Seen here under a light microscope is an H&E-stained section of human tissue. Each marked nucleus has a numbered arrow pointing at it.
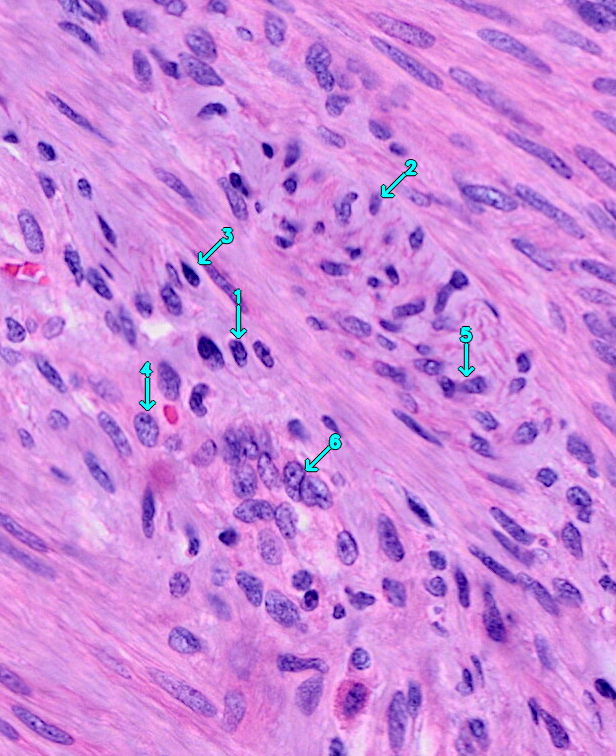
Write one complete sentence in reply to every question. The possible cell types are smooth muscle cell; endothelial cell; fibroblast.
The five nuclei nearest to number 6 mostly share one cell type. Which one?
Endothelial cells account for more than half of the five nuclei nearest to number 6.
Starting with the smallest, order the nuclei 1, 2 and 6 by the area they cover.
From smallest to largest, the order is 2, 1, 6.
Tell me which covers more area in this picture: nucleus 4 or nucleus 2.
It is nucleus 4, which covers about 2.5 times the area of nucleus 2.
